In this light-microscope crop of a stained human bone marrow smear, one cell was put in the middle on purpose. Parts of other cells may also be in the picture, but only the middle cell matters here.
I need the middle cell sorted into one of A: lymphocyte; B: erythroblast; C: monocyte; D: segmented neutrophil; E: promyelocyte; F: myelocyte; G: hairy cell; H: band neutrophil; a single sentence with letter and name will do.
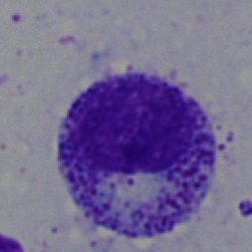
The cell in the centre of the crop is a myelocyte, so option F is the correct one.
